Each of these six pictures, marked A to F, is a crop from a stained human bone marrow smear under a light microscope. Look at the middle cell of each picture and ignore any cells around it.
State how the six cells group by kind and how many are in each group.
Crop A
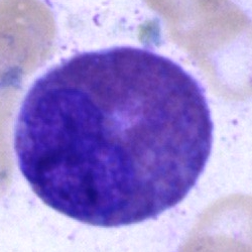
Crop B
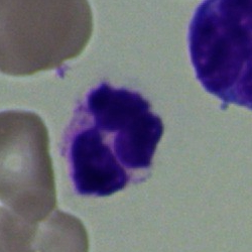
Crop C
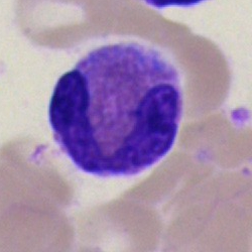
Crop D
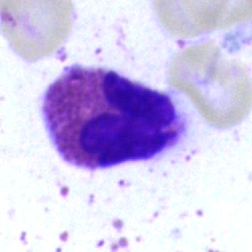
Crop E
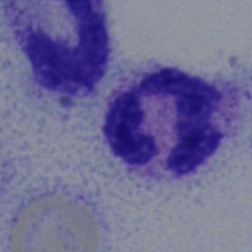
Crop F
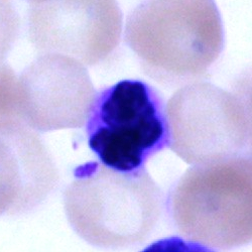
eosinophil: 3
segmented neutrophil: 3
